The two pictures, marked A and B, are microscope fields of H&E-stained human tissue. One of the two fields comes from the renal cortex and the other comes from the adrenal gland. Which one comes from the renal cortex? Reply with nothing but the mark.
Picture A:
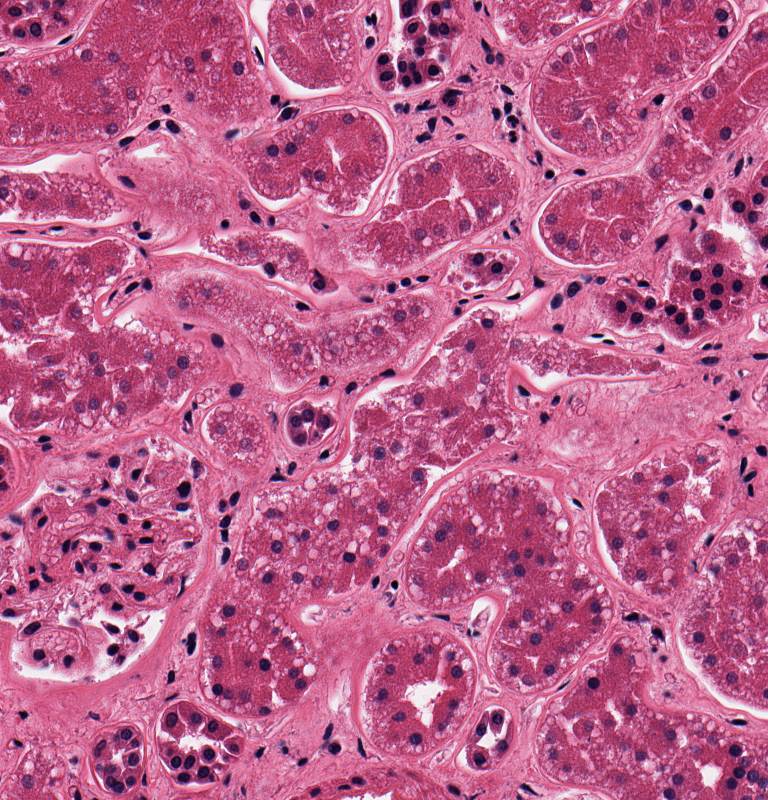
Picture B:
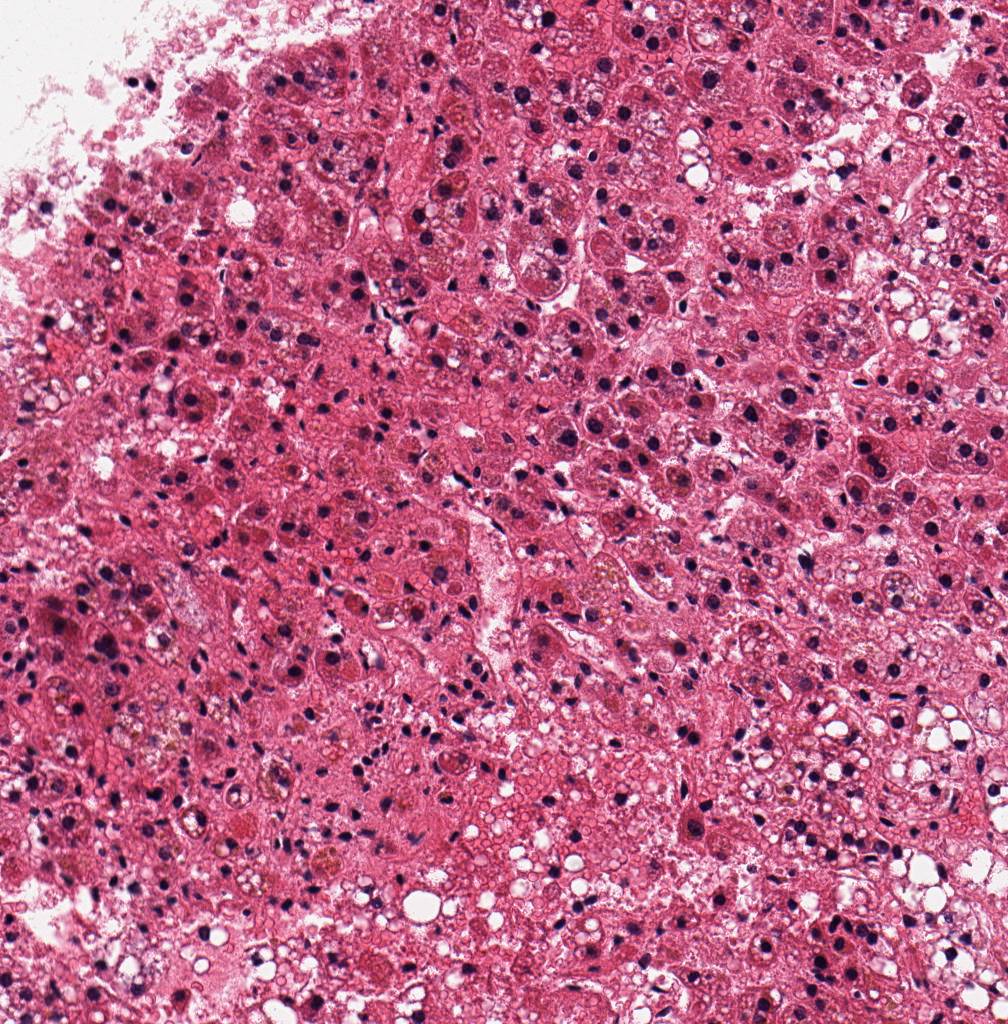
A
